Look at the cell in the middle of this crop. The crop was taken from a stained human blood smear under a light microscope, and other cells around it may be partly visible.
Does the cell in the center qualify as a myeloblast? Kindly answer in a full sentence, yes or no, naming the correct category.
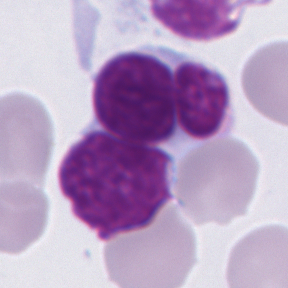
Yes, a myeloblast is what the central cell is.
